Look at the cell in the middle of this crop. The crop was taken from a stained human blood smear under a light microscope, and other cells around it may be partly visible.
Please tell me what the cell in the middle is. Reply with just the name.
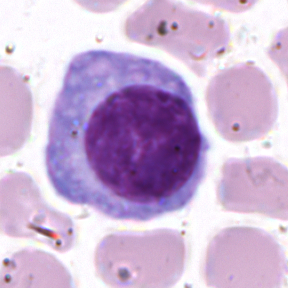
plasma cell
